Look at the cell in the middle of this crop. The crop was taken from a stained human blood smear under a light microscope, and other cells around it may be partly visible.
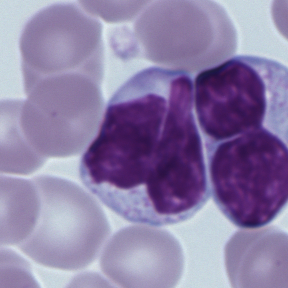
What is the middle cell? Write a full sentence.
The single cell at the center of the crop is a large granular lymphocyte.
